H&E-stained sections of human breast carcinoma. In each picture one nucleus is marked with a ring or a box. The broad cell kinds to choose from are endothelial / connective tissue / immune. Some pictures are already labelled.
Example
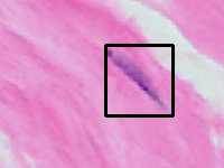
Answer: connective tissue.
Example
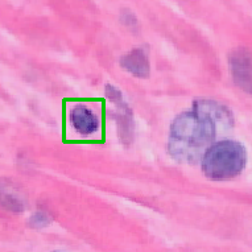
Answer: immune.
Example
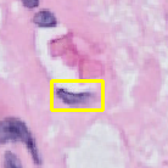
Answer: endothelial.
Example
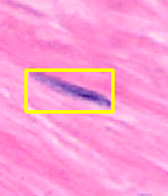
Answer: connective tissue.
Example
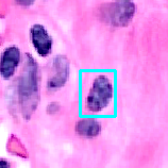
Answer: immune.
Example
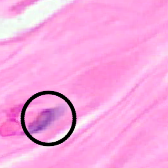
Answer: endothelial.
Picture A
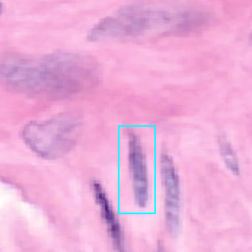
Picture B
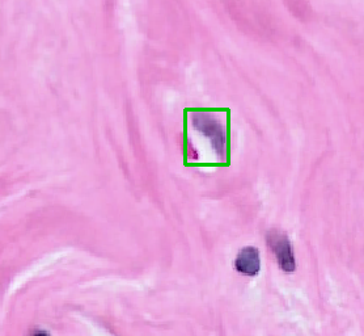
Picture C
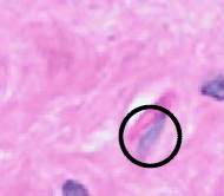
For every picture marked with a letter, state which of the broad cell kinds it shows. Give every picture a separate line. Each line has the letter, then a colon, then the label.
A: endothelial.
B: endothelial.
C: endothelial.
